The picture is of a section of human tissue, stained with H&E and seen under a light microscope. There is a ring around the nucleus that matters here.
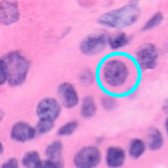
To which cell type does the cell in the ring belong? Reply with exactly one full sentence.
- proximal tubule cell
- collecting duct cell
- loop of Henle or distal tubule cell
By its classification, the cell in the ring is a collecting duct cell.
